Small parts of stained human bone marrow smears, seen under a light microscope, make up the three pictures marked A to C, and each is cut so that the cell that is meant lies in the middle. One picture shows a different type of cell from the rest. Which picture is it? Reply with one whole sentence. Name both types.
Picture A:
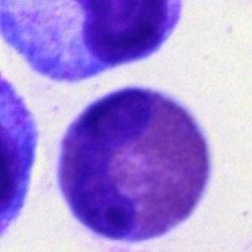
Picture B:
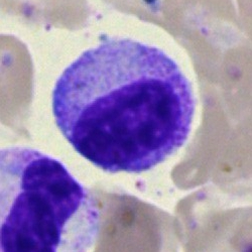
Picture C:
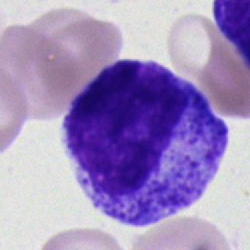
Picture A is the odd one out: it shows an eosinophil, while the others show myelocytes.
